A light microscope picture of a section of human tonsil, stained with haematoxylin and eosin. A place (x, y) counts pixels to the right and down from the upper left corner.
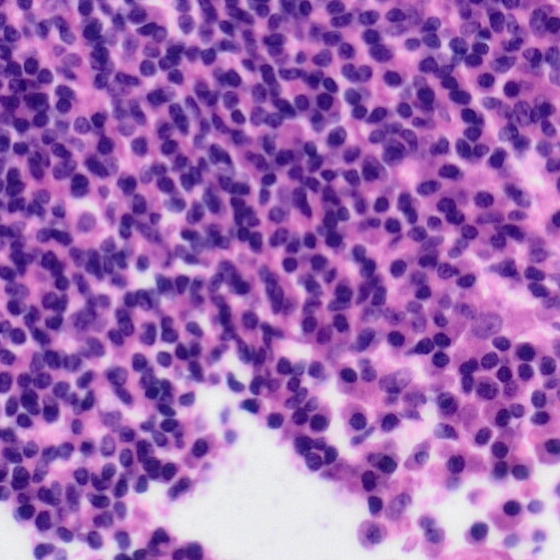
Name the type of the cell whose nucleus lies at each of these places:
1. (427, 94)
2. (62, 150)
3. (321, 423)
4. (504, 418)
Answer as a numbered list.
1. small lymphocyte
2. small lymphocyte
3. plasma cell
4. plasma cell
